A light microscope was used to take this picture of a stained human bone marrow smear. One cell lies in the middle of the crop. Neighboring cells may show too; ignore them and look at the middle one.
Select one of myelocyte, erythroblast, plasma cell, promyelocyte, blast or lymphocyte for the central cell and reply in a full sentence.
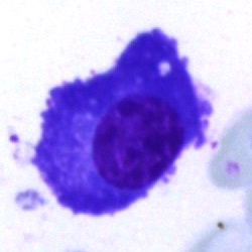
The cell occupying the middle of the crop is a plasma cell.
